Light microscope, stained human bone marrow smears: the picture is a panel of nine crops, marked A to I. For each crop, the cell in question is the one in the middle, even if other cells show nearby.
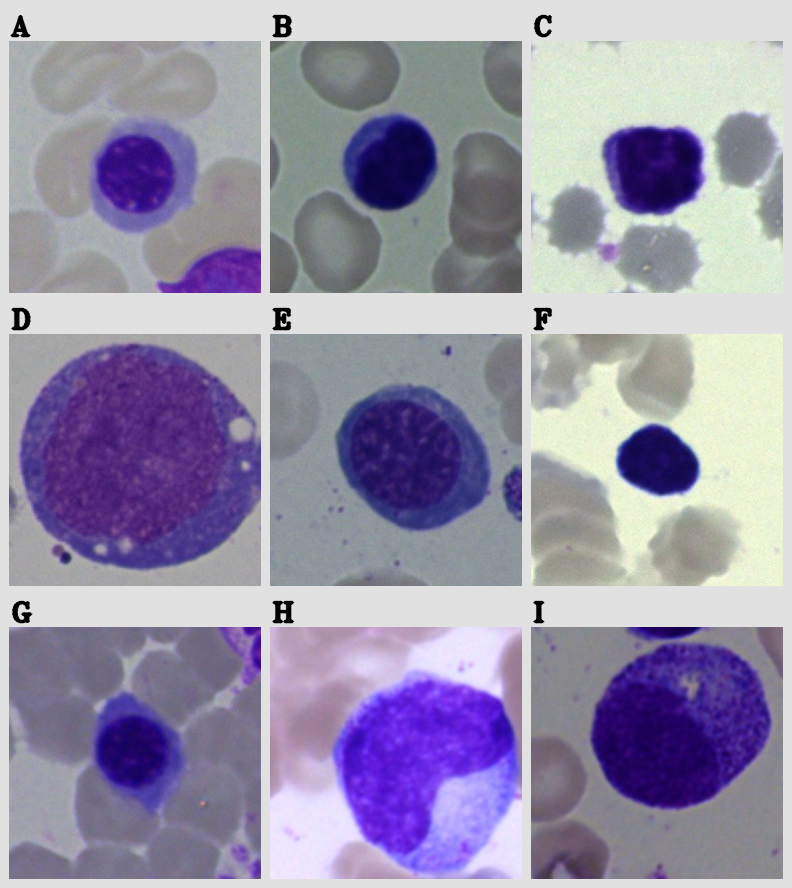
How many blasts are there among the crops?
1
